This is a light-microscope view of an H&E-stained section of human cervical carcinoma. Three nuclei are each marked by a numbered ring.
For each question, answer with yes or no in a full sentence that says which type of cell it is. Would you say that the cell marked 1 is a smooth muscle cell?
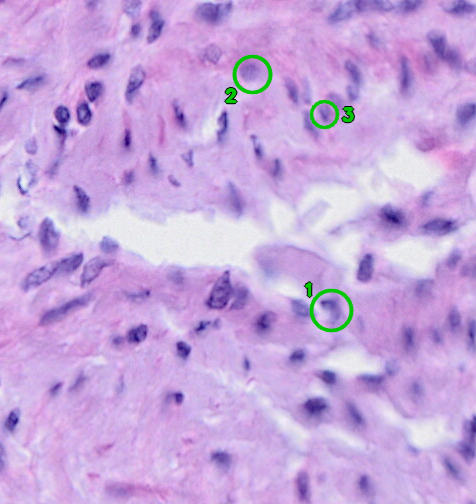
No, for cell 1, the correct identification is a fibroblast instead of a smooth muscle cell.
